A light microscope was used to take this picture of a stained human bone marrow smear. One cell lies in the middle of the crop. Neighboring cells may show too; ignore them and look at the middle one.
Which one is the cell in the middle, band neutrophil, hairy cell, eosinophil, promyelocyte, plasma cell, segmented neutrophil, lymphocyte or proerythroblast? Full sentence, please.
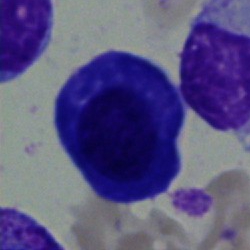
The centered cell in this crop is a plasma cell.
